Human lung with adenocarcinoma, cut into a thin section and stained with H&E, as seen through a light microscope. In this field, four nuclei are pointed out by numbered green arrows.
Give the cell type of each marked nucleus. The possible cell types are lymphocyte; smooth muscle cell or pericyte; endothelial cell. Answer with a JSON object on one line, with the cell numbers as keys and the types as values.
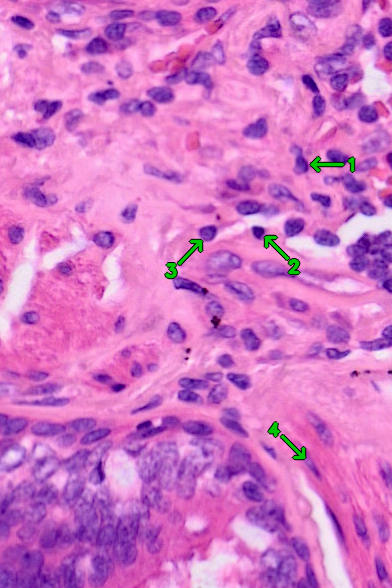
{"1": "lymphocyte", "2": "lymphocyte", "3": "lymphocyte", "4": "smooth muscle cell or pericyte"}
